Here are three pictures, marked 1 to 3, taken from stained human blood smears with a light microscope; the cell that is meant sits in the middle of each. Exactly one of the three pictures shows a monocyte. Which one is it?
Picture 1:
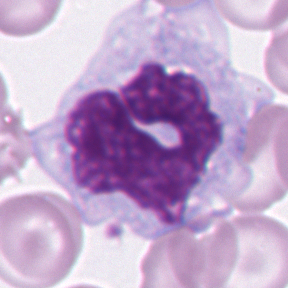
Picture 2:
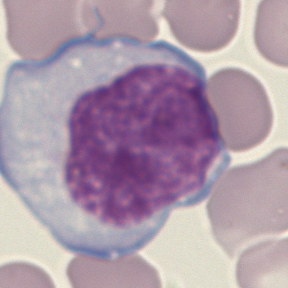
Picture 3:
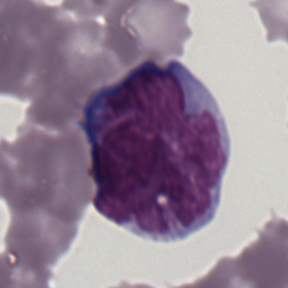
1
